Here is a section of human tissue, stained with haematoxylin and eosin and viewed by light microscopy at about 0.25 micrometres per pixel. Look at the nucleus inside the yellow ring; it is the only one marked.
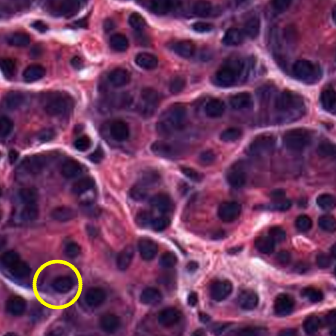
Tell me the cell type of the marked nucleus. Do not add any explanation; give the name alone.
pancreatic acinar cell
